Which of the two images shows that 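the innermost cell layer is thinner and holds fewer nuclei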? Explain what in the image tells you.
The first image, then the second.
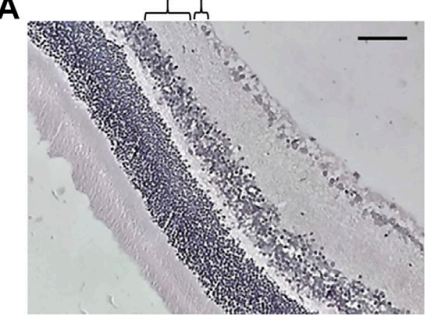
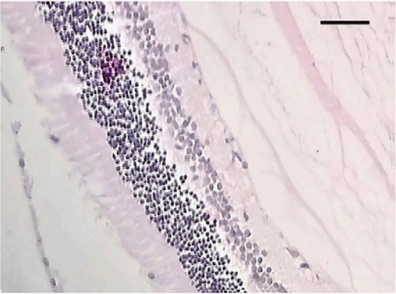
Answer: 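Second image: the cells along the inner edge of the retina are few and widely scattered. First image: a more continuous row of cells lines the inner edge beyond the pale inner band. So: the second image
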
